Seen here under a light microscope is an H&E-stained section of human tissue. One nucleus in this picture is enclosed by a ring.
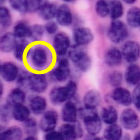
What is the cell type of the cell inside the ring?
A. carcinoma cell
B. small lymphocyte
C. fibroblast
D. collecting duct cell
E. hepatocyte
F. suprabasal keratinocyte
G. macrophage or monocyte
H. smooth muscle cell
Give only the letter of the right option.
B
